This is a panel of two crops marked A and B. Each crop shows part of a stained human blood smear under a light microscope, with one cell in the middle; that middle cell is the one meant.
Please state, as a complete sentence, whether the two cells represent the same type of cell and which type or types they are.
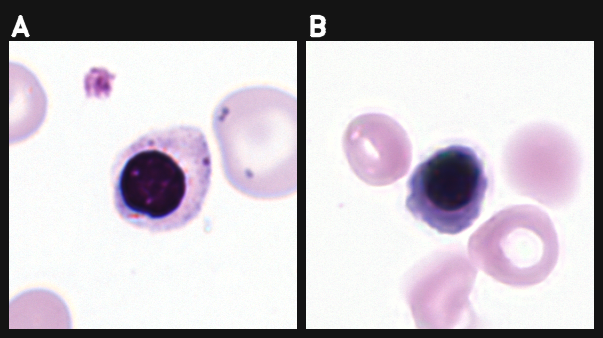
Yes, the centred cells are normoblasts in both crops.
